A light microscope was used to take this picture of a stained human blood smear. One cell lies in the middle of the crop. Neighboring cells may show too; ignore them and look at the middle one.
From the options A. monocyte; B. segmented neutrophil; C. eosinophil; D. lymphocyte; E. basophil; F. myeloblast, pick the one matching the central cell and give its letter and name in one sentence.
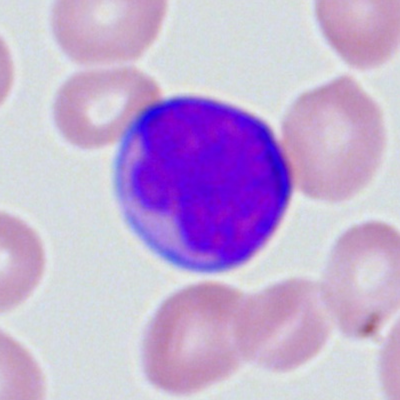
Option F is right, the centrally situated cell being a myeloblast.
